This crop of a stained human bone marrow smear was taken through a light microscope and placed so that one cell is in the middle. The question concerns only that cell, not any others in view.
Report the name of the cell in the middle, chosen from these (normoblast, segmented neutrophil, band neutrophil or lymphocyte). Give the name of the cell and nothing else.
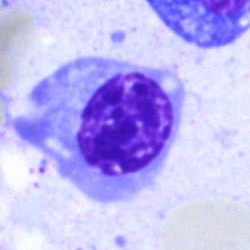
normoblast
